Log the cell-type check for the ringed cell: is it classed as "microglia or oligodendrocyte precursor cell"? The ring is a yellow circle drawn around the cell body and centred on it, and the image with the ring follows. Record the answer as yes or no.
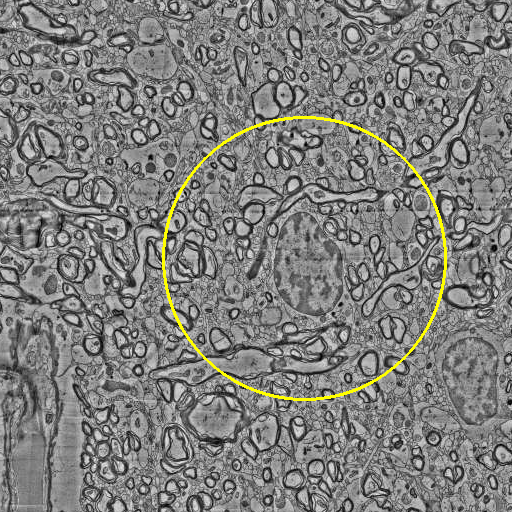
Yes, it is classed that way.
